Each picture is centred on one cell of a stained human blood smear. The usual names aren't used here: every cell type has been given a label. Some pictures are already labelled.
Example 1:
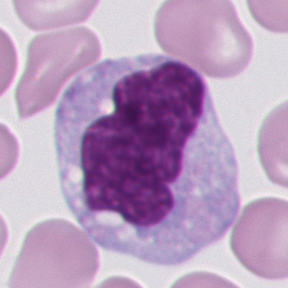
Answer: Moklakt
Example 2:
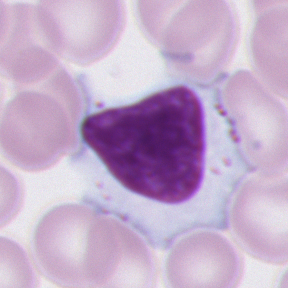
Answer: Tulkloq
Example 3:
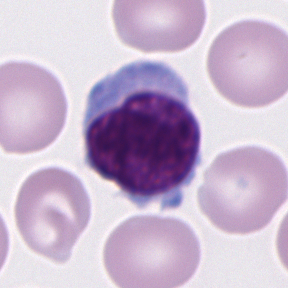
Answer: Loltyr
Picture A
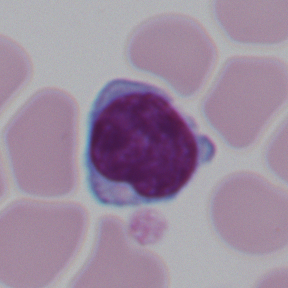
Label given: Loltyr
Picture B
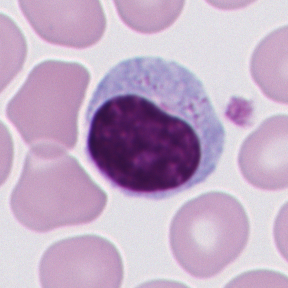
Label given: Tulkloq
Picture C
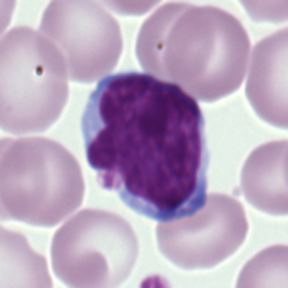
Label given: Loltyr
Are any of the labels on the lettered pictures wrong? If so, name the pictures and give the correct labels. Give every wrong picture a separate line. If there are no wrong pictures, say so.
Nothing to fix; every label fits.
